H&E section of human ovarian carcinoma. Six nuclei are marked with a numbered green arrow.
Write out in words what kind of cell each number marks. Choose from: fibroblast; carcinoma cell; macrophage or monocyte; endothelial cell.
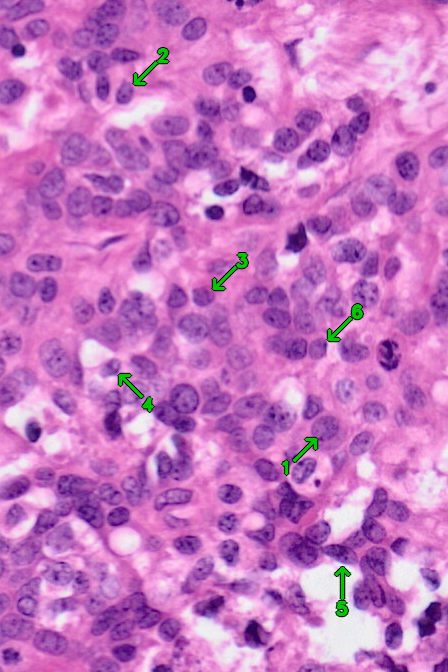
Cells 1, 3, 5 and 6 are carcinoma cells. Cells 2 and 4 are macrophages or monocytes.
